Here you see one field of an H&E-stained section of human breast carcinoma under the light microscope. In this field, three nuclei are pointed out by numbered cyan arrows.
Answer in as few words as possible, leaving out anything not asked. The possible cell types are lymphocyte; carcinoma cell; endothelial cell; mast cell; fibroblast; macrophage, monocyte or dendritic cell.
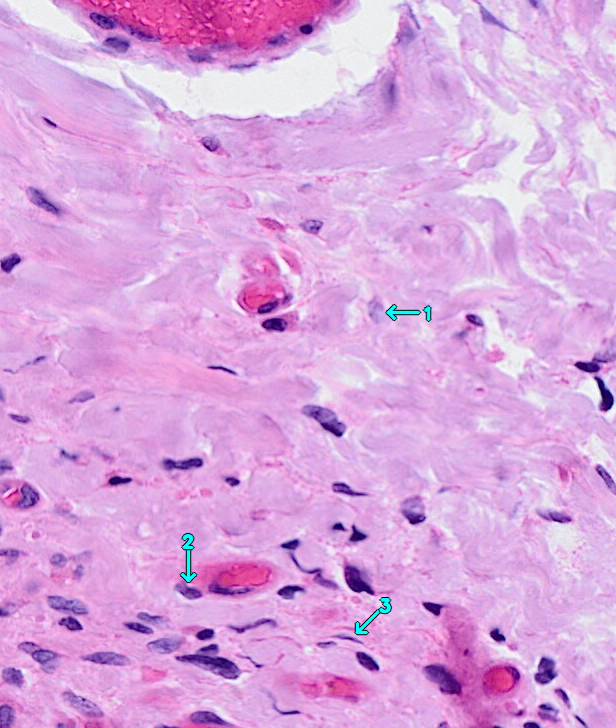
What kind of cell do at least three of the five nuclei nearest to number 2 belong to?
fibroblast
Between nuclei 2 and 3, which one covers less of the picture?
3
